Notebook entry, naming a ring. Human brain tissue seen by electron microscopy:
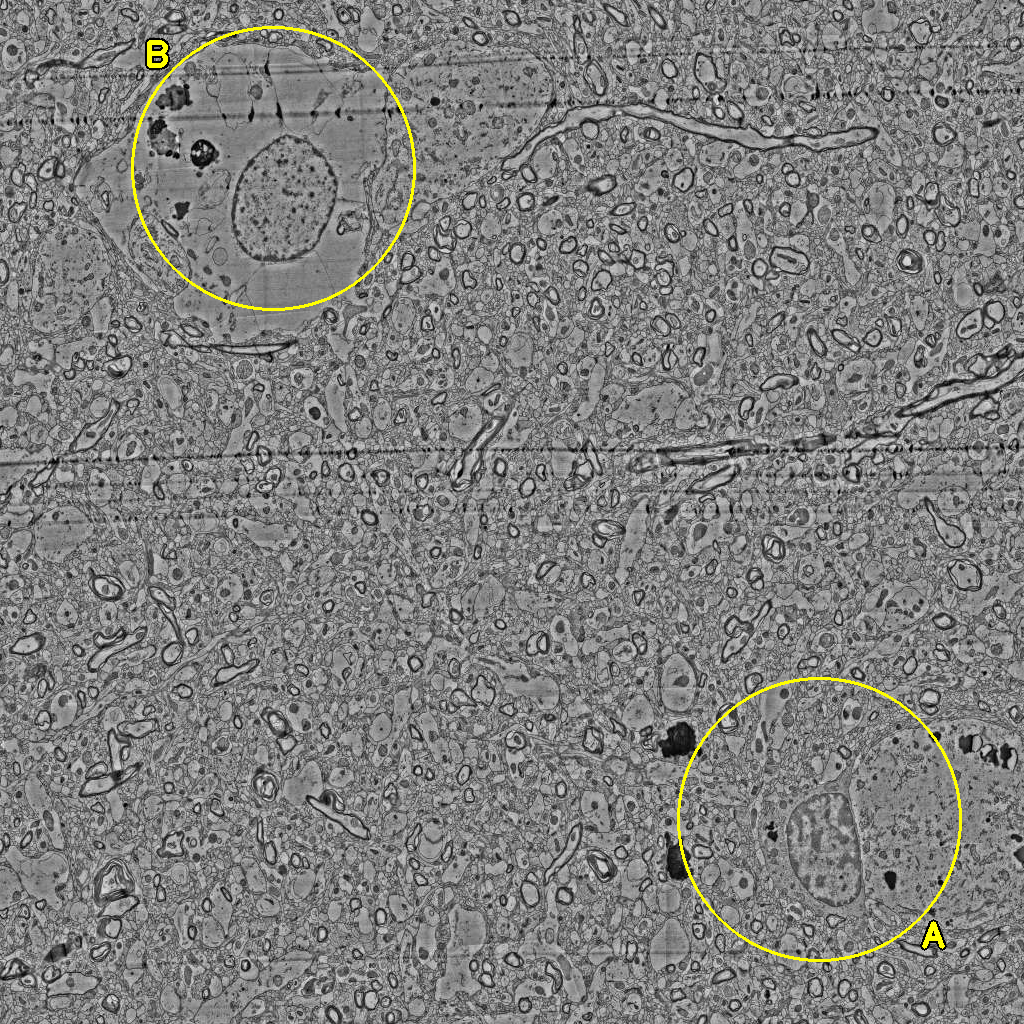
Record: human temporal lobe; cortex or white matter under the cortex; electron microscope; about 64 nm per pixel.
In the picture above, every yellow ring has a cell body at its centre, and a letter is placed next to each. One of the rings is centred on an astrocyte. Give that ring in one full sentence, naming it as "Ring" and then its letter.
Ring B is the ring whose centre holds the cell asked for.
